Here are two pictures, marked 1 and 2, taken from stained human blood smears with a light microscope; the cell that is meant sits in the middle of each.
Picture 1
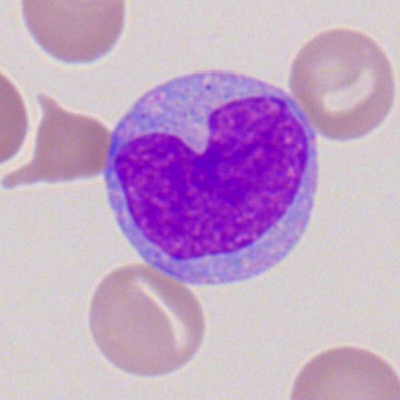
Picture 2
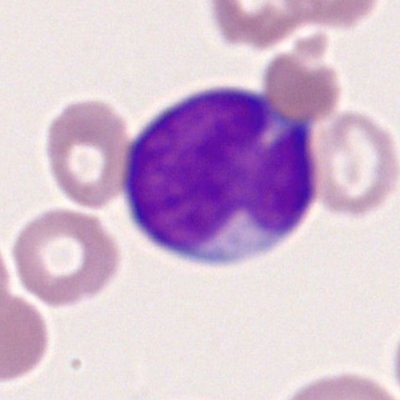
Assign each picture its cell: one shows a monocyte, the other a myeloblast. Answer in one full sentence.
It is picture 1 that shows a monocyte, and picture 2 that shows a myeloblast.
